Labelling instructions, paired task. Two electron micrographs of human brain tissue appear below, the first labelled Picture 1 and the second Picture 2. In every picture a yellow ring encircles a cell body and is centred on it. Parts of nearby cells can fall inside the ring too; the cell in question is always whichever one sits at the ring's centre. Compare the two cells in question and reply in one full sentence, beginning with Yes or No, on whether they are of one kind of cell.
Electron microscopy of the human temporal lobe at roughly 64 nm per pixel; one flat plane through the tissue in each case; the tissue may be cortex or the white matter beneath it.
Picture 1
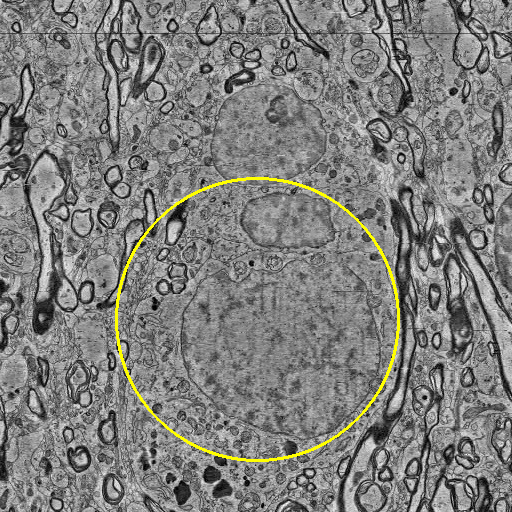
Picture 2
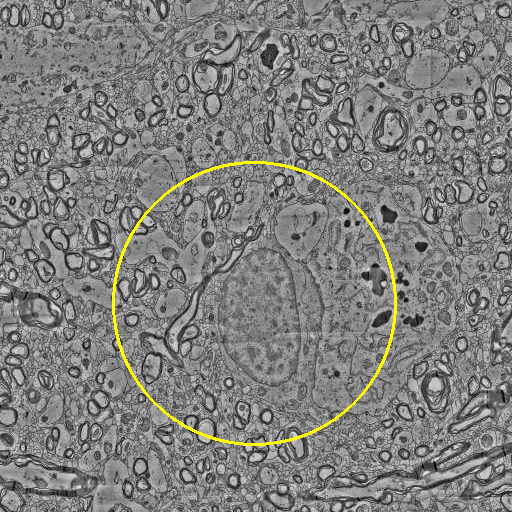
No, the two cells at the ring centres in Picture 1 and Picture 2 are of two kinds.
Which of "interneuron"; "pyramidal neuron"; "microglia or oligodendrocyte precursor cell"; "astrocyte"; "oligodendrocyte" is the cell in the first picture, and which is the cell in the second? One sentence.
The two differ: the first cell is an interneuron and the second is an oligodendrocyte.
